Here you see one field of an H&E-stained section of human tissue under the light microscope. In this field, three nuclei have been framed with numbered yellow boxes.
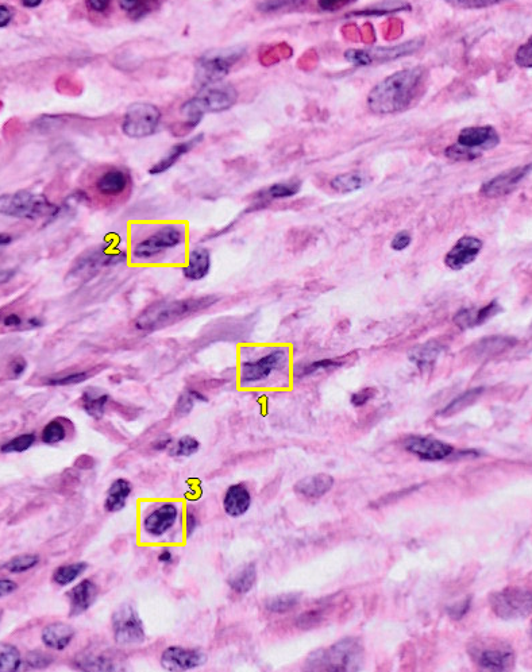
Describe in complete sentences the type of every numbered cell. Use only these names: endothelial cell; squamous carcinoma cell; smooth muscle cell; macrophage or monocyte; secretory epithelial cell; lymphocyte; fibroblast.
Cell 1 is a fibroblast. Cell 2 is a macrophage or monocyte. Cell 3 is a lymphocyte.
